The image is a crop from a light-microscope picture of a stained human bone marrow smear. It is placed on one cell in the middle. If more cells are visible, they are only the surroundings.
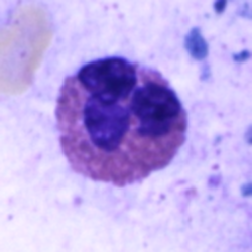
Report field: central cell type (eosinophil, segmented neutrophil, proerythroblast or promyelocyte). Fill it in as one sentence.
The cell centered in this field of view is an eosinophil.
